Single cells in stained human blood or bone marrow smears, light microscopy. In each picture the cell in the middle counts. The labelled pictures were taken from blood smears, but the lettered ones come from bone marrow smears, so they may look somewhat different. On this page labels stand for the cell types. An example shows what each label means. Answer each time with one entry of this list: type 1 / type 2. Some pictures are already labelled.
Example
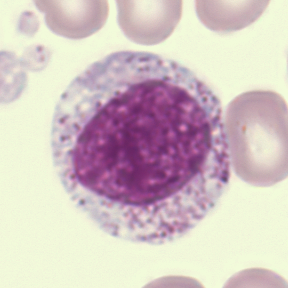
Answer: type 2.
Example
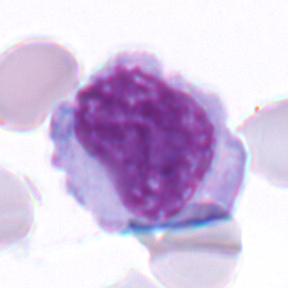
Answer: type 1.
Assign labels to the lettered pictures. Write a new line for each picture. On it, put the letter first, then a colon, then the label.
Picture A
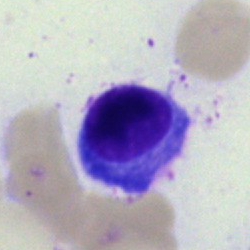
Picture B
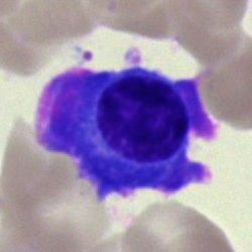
A: type 1.
B: type 1.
